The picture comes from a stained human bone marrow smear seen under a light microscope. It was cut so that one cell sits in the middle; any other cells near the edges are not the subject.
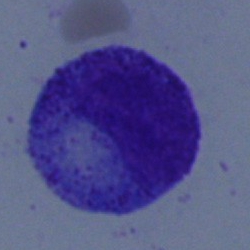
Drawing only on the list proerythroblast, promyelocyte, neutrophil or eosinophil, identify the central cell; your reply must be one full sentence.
The central cell shown in this smear crop is a promyelocyte.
